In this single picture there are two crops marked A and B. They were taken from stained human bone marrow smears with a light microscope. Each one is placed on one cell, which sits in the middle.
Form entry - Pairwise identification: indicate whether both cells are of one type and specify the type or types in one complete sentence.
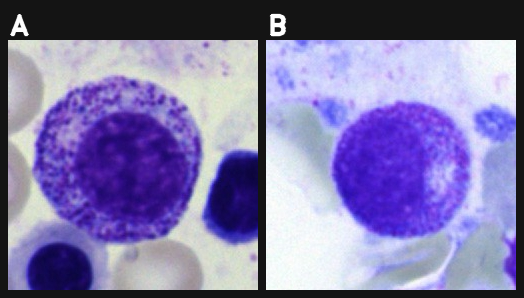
Yes, the cells at the middle of both crops are myelocytes.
